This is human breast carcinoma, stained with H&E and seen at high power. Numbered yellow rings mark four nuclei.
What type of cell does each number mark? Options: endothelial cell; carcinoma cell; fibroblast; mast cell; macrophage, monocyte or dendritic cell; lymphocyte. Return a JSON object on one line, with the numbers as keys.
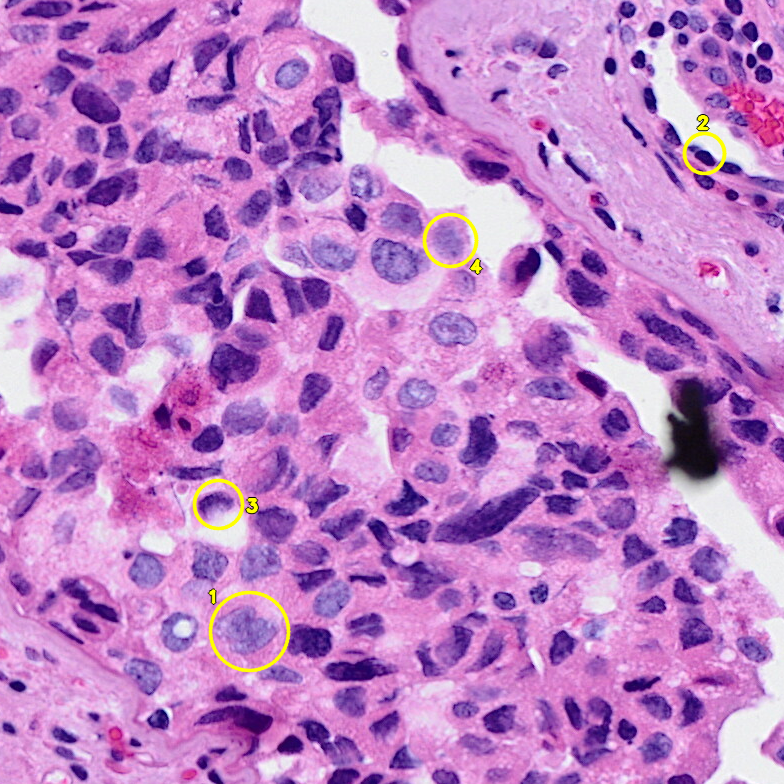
{"1": "carcinoma cell", "2": "lymphocyte", "3": "carcinoma cell", "4": "carcinoma cell"}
